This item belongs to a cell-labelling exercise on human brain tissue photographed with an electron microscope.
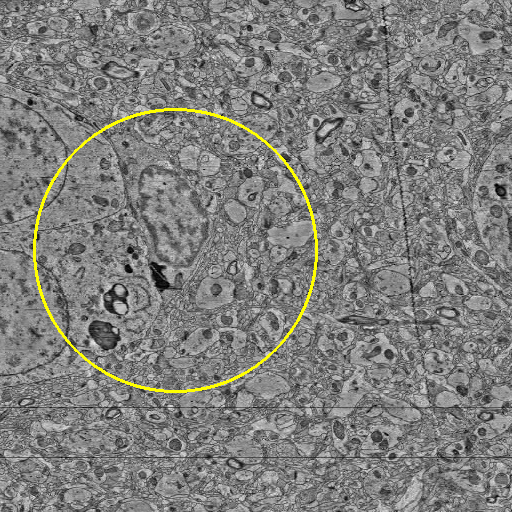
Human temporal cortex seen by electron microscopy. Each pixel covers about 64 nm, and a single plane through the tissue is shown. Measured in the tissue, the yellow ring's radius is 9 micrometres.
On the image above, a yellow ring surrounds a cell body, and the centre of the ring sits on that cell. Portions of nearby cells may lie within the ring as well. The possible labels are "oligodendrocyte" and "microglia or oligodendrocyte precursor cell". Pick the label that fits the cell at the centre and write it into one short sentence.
This cell should be labelled as an oligodendrocyte.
